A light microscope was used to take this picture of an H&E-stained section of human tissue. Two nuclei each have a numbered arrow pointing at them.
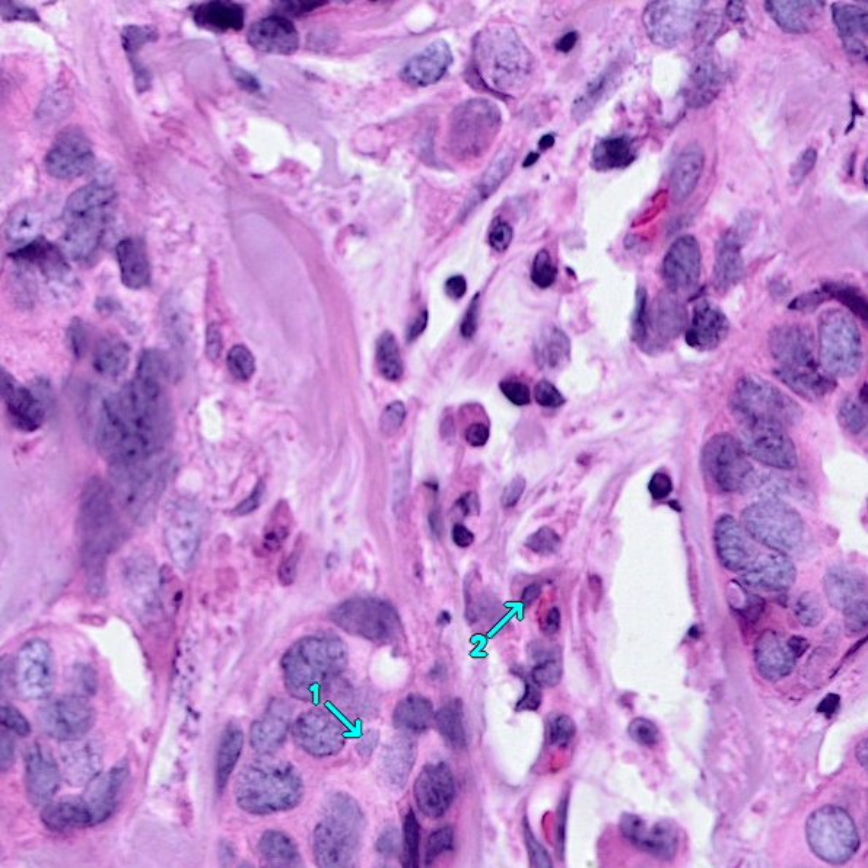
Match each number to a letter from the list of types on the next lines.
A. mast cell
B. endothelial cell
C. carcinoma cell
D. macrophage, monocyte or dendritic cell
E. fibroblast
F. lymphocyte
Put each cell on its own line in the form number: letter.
1: C
2: B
